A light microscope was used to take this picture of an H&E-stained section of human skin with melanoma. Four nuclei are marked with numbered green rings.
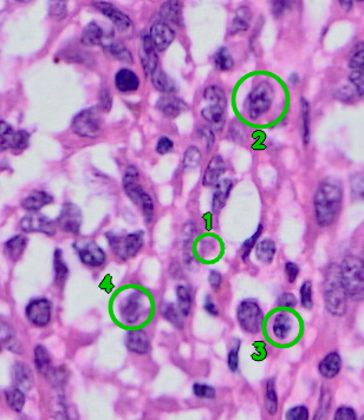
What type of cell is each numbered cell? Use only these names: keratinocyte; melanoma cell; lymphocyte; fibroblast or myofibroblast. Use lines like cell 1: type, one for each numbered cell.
cell 1: melanoma cell
cell 2: melanoma cell
cell 3: lymphocyte
cell 4: melanoma cell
